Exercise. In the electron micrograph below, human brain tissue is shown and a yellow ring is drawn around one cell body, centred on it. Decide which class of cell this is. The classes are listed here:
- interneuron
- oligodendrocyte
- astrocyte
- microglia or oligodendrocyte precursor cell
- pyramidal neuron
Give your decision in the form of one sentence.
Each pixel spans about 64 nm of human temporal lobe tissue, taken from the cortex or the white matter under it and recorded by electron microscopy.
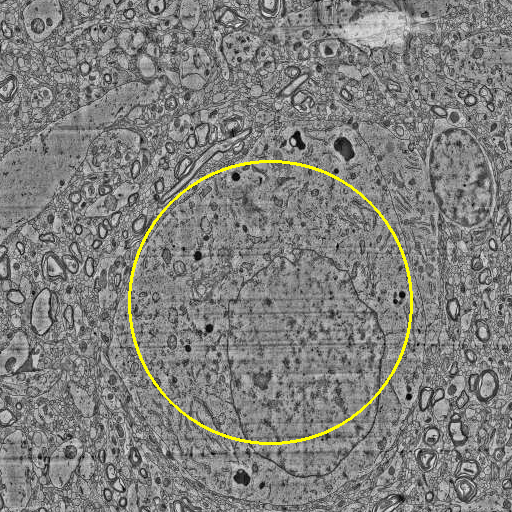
The cell body marked by the ring belongs to a pyramidal neuron.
